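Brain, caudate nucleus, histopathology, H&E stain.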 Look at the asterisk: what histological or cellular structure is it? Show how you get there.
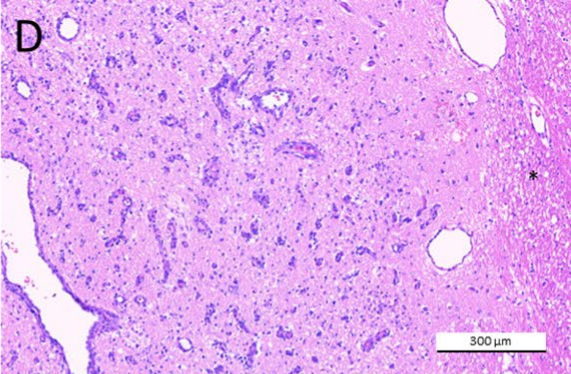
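The asterisk lies on a band at the right edge that is more densely pink and fibrillar than the tissue to its left. This band has few vessels compared with the tissue beside it. The answer: internal capsule.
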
